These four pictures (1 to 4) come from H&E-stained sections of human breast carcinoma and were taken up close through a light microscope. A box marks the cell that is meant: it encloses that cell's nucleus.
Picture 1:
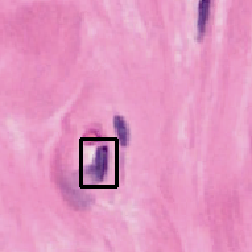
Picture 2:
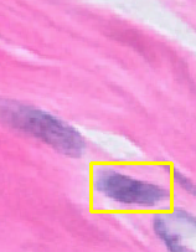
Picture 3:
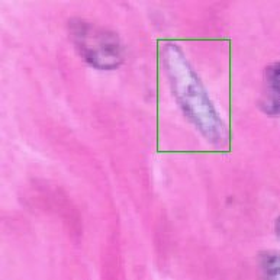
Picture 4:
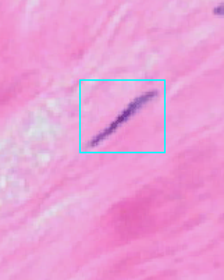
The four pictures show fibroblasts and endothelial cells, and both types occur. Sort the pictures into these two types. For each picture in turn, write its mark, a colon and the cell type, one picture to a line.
1: endothelial cell
2: endothelial cell
3: fibroblast
4: fibroblast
